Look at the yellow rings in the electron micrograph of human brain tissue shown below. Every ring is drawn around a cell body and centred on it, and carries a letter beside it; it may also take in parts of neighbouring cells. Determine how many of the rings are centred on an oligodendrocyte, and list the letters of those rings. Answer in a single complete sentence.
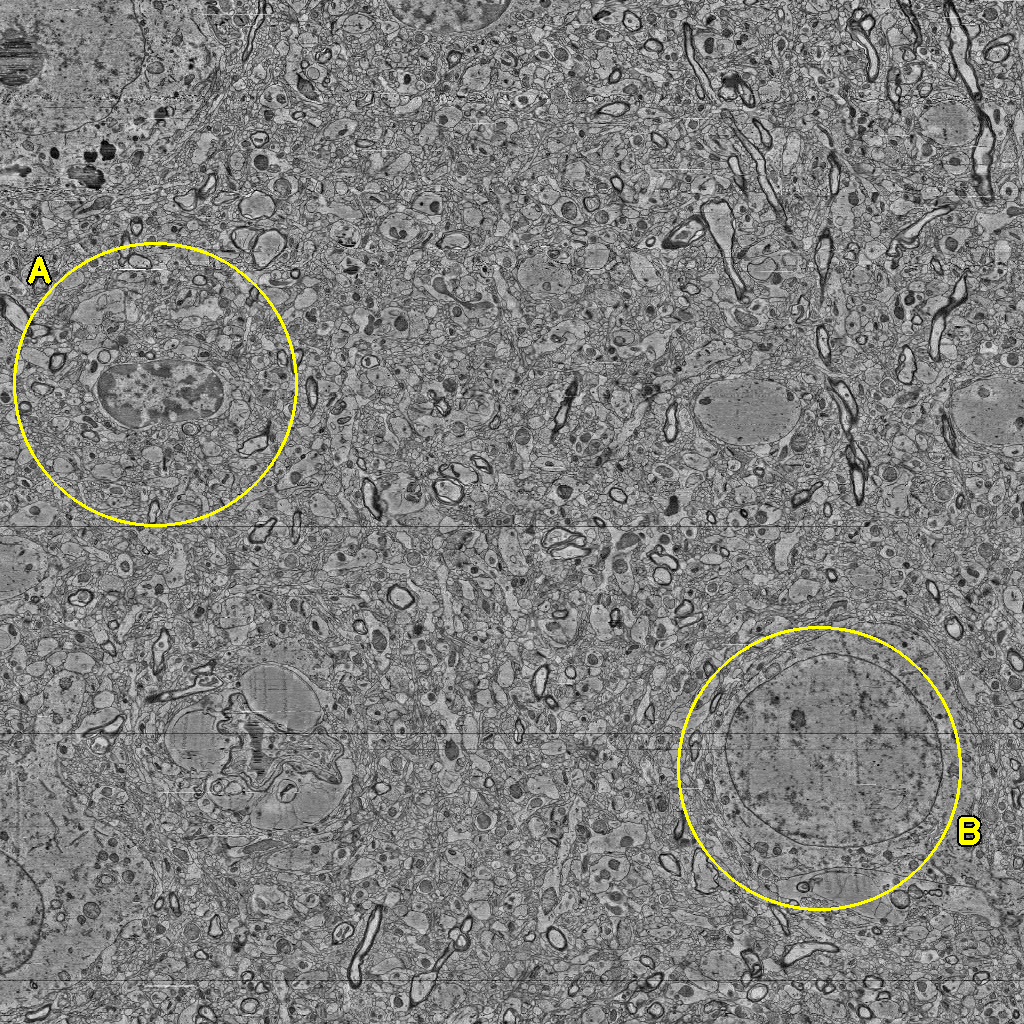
The lettered rings, all of them, fail to be centred on an oligodendrocyte, so the count is zero.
